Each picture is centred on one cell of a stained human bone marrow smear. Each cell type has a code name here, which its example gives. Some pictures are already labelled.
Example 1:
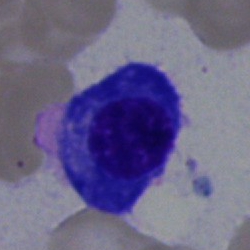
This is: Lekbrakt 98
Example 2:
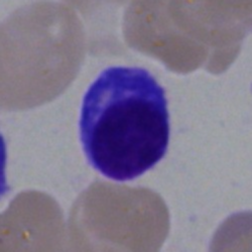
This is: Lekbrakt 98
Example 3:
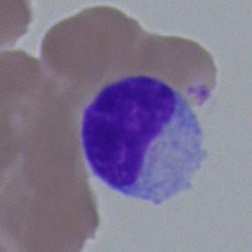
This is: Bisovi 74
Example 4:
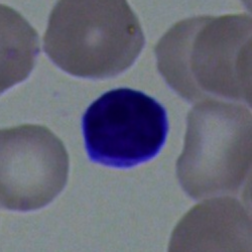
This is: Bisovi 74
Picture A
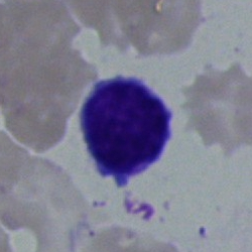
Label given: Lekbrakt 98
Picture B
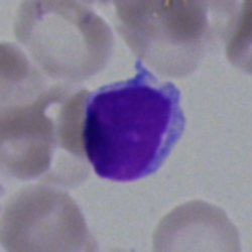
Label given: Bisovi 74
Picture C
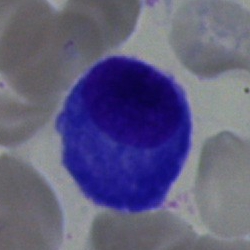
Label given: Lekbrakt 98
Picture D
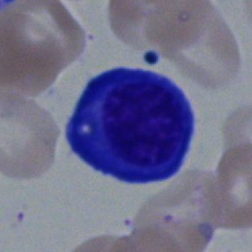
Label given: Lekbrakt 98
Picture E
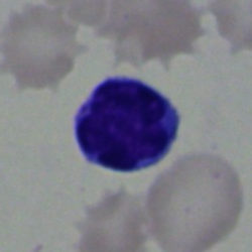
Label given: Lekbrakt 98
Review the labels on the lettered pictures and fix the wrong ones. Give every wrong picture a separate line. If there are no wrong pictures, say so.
A: Bisovi 74, not Lekbrakt 98
E: Bisovi 74, not Lekbrakt 98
